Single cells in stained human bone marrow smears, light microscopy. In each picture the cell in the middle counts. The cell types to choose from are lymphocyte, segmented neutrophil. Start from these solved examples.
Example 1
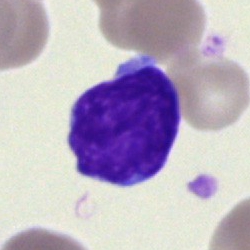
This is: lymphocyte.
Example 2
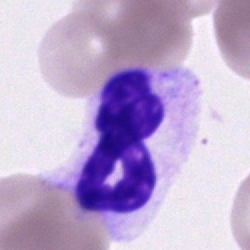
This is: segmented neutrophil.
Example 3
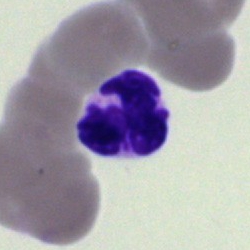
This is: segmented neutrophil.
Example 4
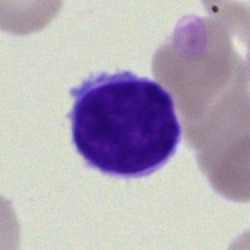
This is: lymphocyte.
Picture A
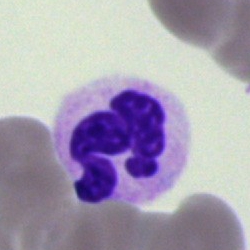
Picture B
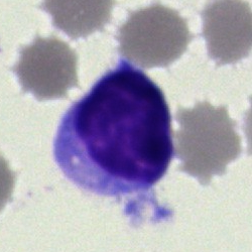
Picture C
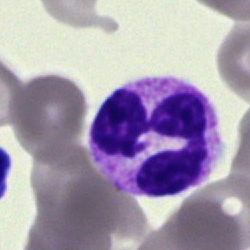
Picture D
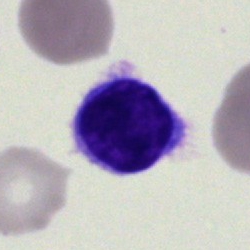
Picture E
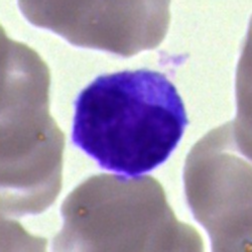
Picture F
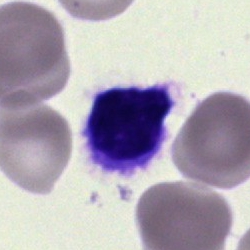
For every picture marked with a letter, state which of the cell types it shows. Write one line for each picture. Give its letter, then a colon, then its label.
A: segmented neutrophil.
B: lymphocyte.
C: segmented neutrophil.
D: lymphocyte.
E: lymphocyte.
F: lymphocyte.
